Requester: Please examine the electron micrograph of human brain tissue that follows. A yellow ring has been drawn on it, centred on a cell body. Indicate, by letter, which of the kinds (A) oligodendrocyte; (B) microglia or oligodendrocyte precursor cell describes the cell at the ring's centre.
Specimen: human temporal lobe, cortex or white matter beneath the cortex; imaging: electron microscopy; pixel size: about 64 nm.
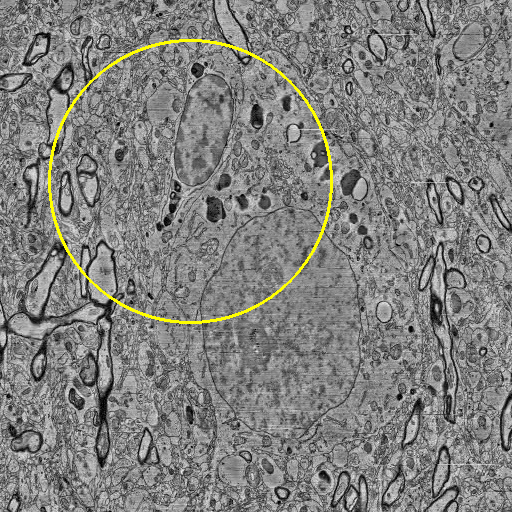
B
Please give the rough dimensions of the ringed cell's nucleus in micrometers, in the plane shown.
The nucleus has a long axis of about 7 micrometres and a short axis of about 4 micrometres in this plane.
